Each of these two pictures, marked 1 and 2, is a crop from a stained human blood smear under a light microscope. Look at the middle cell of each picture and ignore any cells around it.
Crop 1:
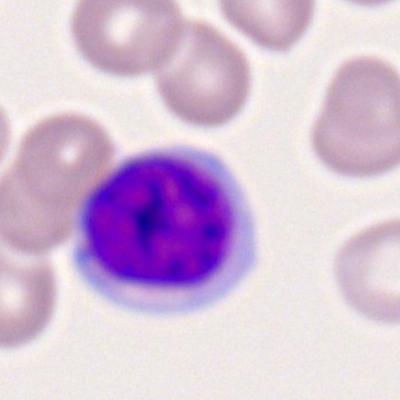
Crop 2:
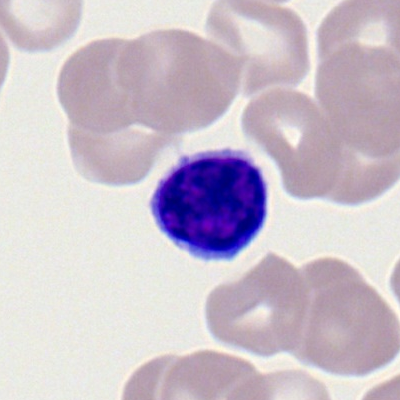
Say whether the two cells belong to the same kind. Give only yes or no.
yes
